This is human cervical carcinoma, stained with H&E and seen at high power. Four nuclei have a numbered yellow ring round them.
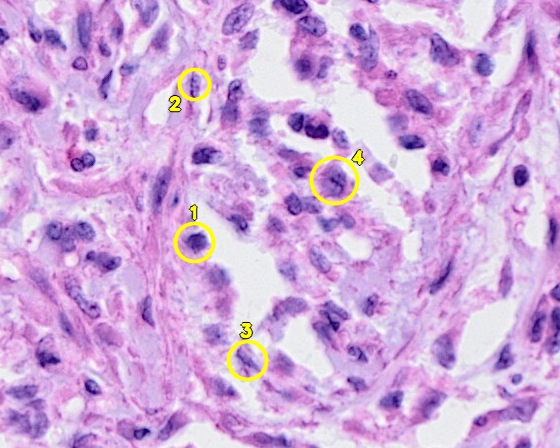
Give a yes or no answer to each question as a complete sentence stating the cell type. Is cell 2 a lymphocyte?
No, the cell tagged 2 is a fibroblast, not a lymphocyte.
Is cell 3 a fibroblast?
Yes, in this tissue section, number 3 is a fibroblast.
